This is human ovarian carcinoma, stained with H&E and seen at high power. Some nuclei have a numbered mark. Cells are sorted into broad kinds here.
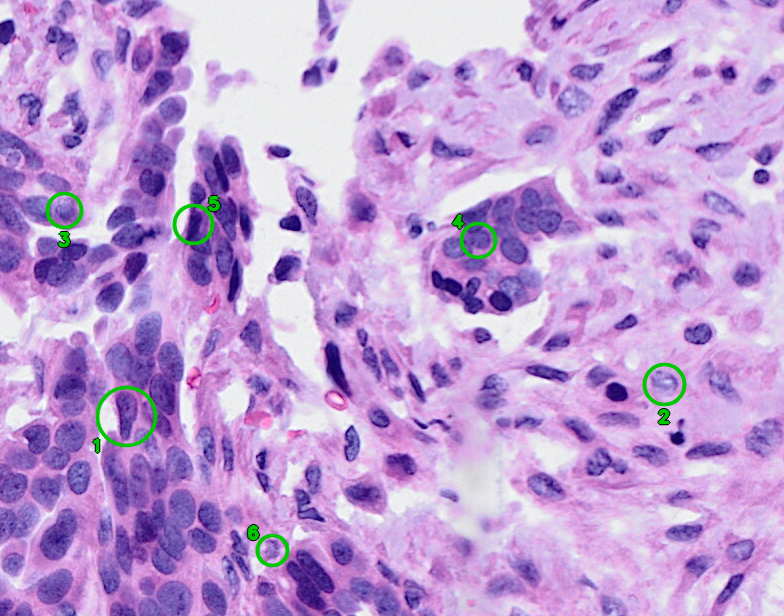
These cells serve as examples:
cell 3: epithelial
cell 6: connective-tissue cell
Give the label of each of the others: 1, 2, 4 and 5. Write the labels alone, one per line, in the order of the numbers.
epithelial
connective-tissue cell
epithelial
epithelial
